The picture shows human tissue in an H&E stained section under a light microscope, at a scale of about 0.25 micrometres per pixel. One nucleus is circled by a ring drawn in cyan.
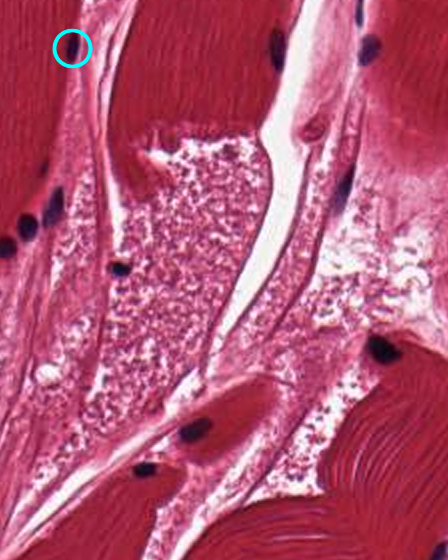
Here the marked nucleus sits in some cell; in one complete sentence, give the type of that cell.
Singled out by the mark is the nucleus of a skeletal muscle fibre.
